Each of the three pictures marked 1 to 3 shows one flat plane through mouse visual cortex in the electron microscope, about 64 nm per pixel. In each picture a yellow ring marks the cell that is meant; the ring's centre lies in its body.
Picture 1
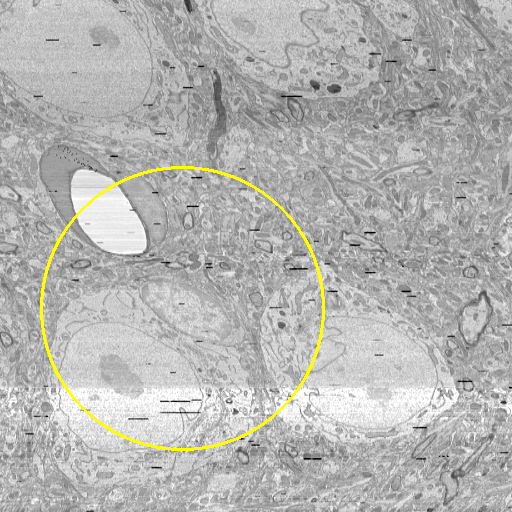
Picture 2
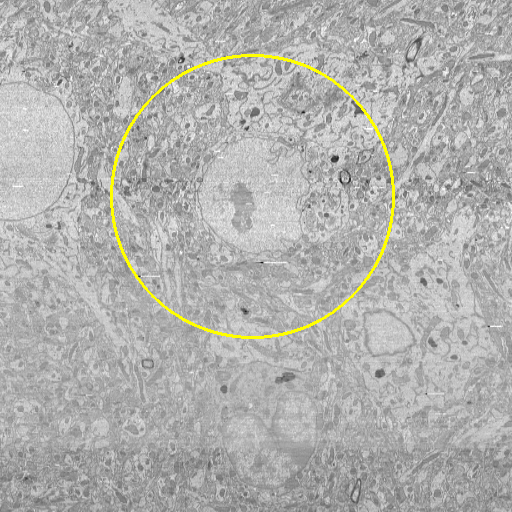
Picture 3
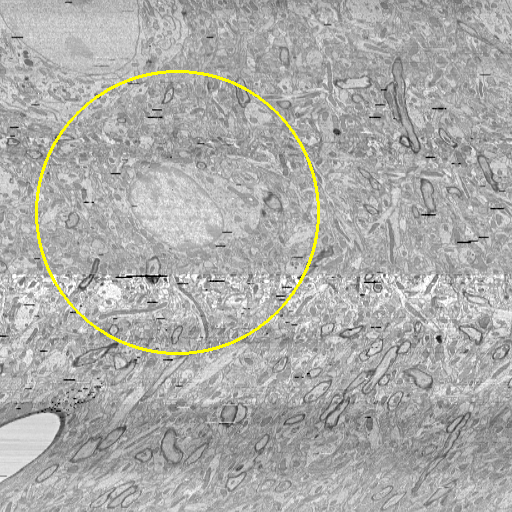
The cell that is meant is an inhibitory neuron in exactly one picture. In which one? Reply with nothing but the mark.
2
